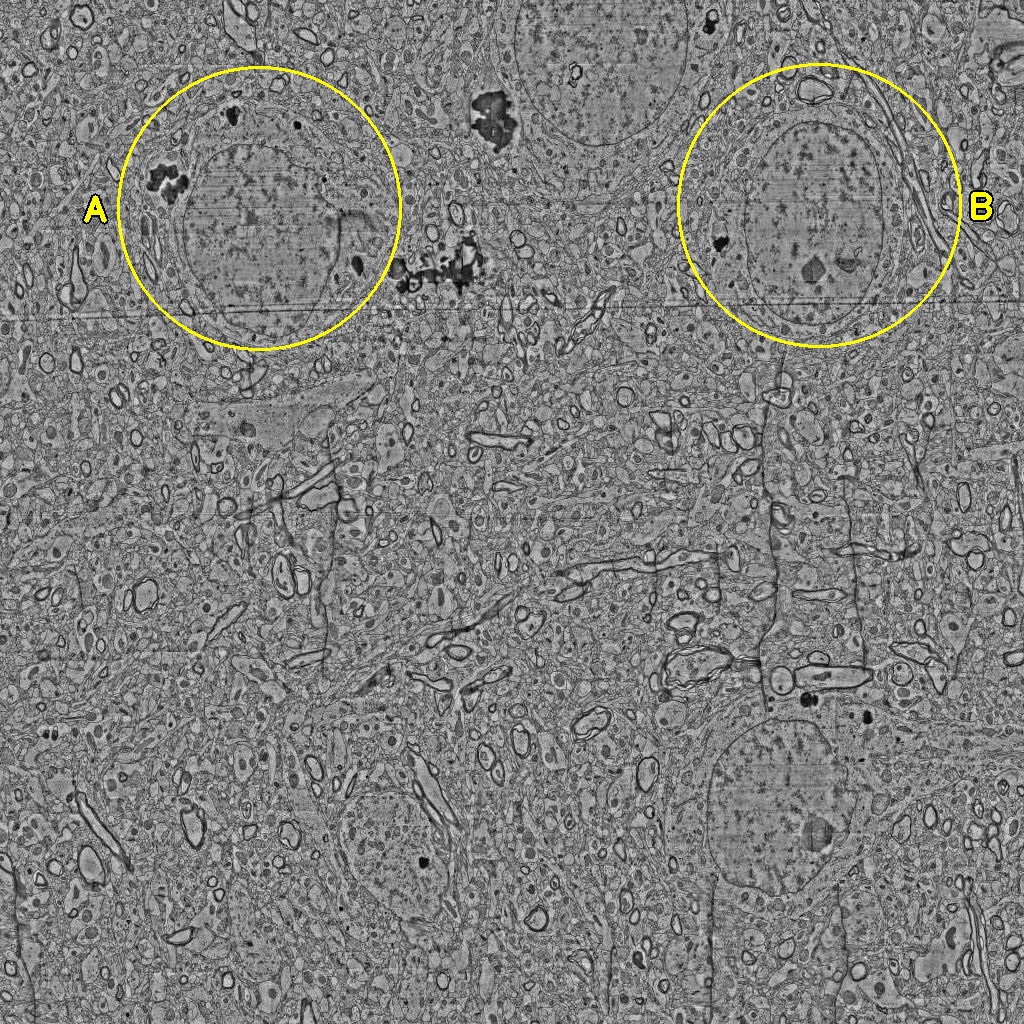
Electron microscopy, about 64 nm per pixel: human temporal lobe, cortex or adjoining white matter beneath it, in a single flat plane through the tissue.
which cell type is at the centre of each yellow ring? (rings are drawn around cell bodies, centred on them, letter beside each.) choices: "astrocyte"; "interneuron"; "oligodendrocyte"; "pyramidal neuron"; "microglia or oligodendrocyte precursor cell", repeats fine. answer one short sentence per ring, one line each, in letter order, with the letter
Ring A is a pyramidal neuron.
Ring B is a pyramidal neuron.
